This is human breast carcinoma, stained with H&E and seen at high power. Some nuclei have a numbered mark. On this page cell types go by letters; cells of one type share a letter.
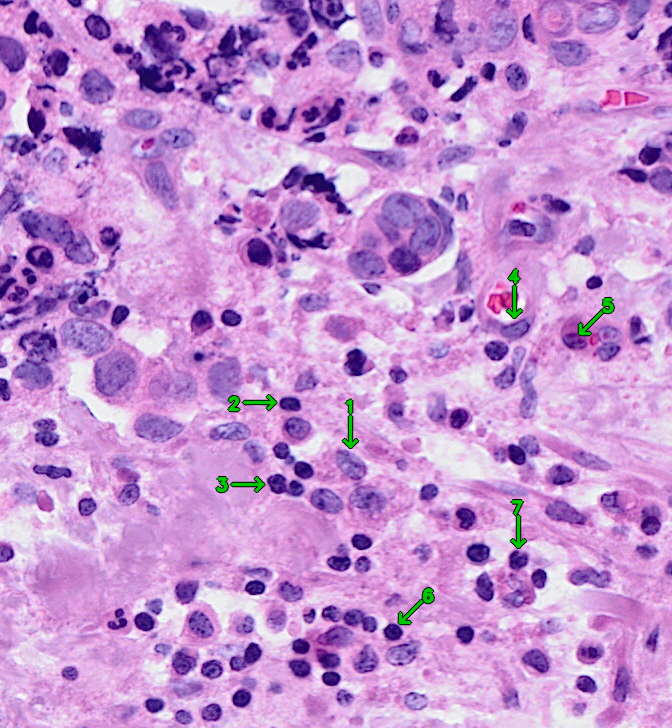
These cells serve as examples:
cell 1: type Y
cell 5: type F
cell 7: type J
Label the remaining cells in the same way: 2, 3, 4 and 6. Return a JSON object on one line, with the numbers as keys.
{"2": "type J", "3": "type J", "4": "type F", "6": "type J"}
